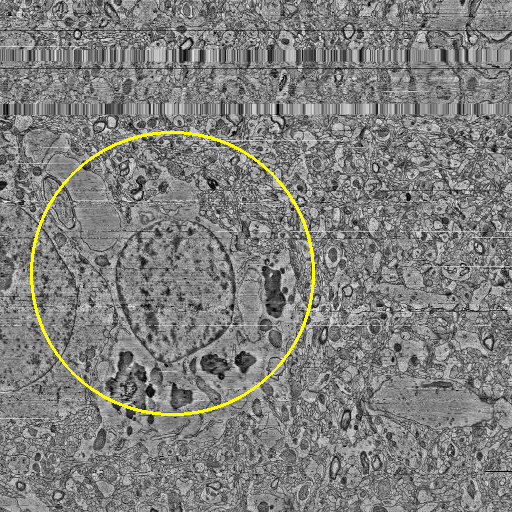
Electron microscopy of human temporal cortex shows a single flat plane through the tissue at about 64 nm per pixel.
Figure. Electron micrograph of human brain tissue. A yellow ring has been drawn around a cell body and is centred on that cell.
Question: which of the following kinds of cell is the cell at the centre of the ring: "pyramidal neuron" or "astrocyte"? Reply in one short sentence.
The cell at the centre of the ring is an astrocyte.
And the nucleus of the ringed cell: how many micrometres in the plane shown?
Roughly 10 by 8 micrometres in this plane, for the nucleus of the ringed cell.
